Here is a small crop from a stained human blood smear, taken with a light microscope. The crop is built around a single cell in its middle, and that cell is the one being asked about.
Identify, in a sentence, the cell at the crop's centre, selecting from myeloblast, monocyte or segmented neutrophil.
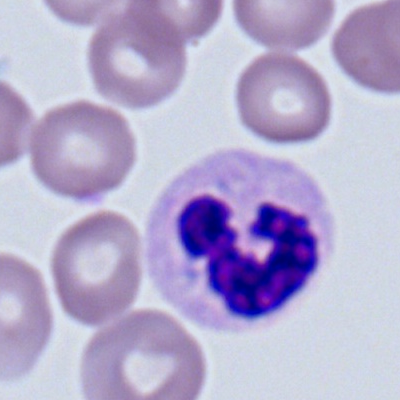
The centered cell in this crop is a segmented neutrophil.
